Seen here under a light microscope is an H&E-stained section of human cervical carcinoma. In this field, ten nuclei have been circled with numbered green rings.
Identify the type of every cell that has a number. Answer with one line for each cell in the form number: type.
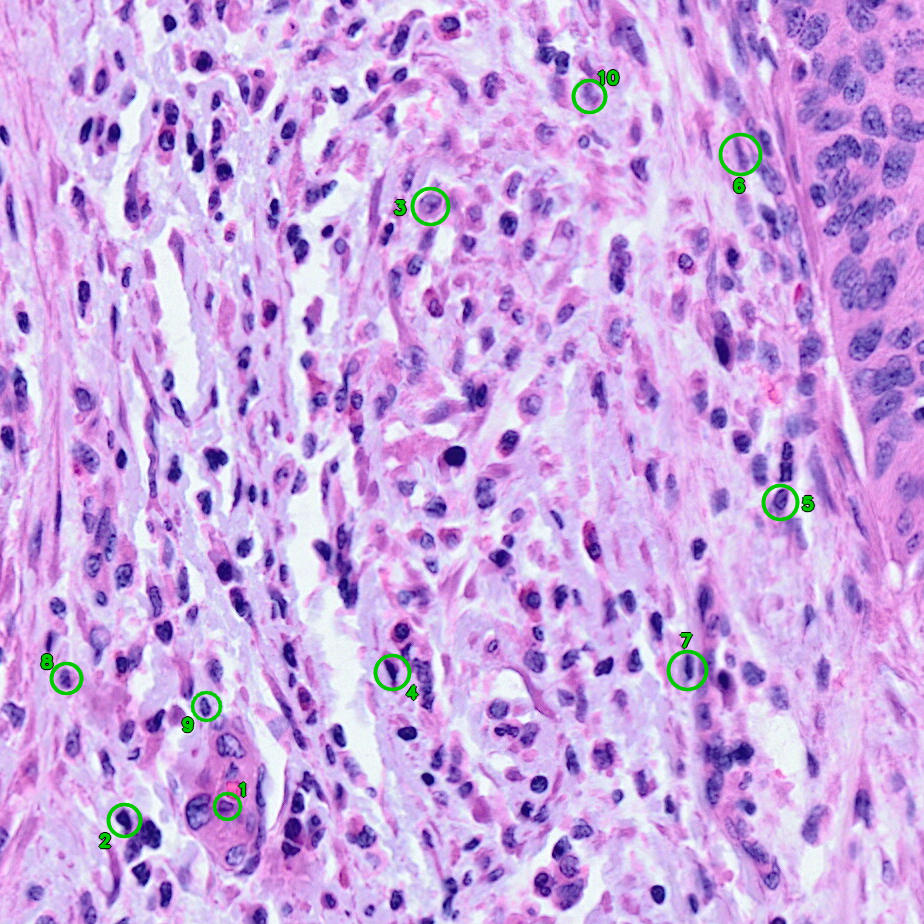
1: endothelial cell
2: lymphocyte
3: macrophage or monocyte
4: lymphocyte
5: lymphocyte
6: fibroblast
7: lymphocyte
8: lymphocyte
9: lymphocyte
10: fibroblast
